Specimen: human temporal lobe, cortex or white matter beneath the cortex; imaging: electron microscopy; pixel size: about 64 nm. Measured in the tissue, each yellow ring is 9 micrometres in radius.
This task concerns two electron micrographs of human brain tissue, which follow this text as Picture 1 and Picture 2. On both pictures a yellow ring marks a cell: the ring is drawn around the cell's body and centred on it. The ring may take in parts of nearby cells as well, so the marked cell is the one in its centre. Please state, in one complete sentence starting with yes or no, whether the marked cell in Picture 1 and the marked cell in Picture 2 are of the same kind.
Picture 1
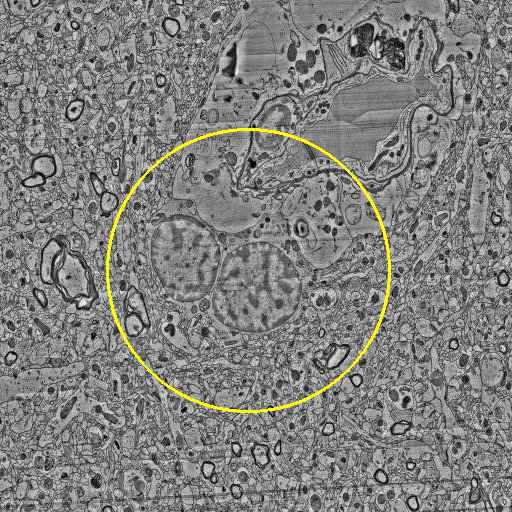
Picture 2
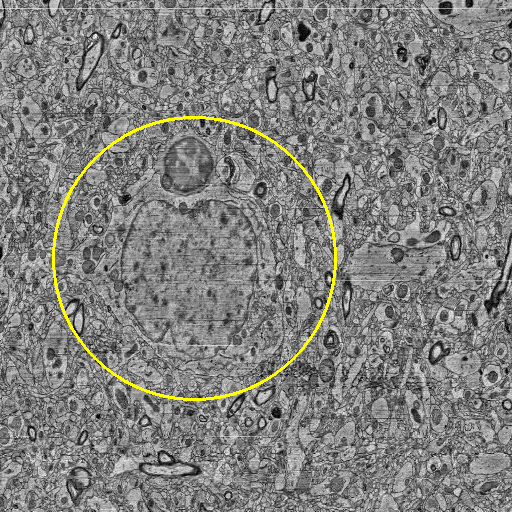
No, the marked cells in the two pictures are of two kinds.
